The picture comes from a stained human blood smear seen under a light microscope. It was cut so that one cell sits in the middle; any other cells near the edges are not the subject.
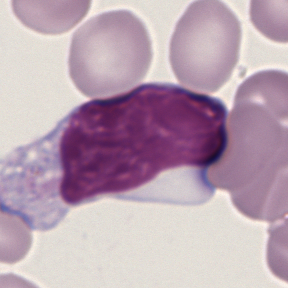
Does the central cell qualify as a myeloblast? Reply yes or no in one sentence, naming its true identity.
No, the centre of the crop is taken up by a typical lymphocyte, not a myeloblast.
